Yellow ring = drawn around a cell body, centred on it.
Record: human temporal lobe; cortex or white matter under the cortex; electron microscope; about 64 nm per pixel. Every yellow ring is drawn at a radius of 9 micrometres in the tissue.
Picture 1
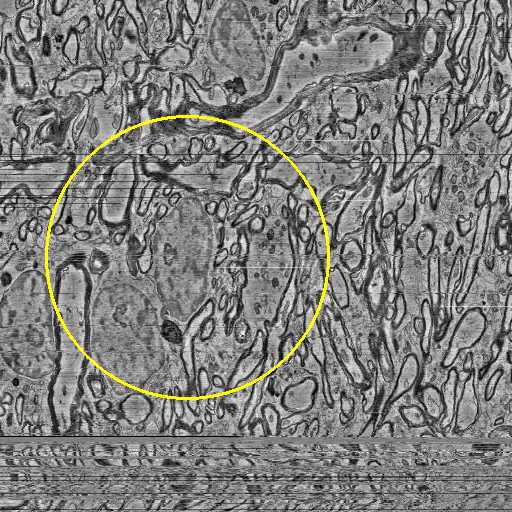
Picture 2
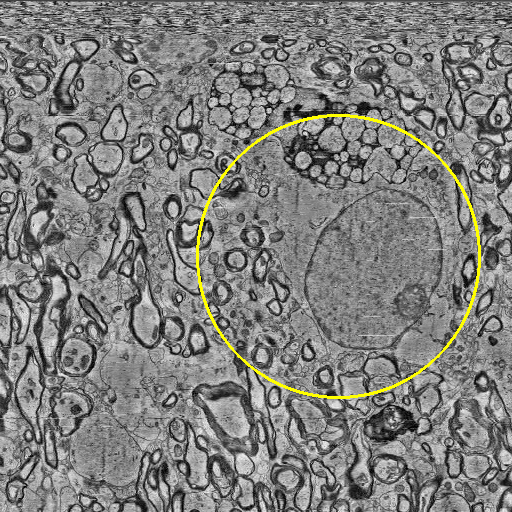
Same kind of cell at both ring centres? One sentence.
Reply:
No, they are two kinds of cell.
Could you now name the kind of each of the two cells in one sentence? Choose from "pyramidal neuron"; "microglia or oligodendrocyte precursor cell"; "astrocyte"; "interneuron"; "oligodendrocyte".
The first ring encloses an oligodendrocyte; the second ring encloses an astrocyte.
